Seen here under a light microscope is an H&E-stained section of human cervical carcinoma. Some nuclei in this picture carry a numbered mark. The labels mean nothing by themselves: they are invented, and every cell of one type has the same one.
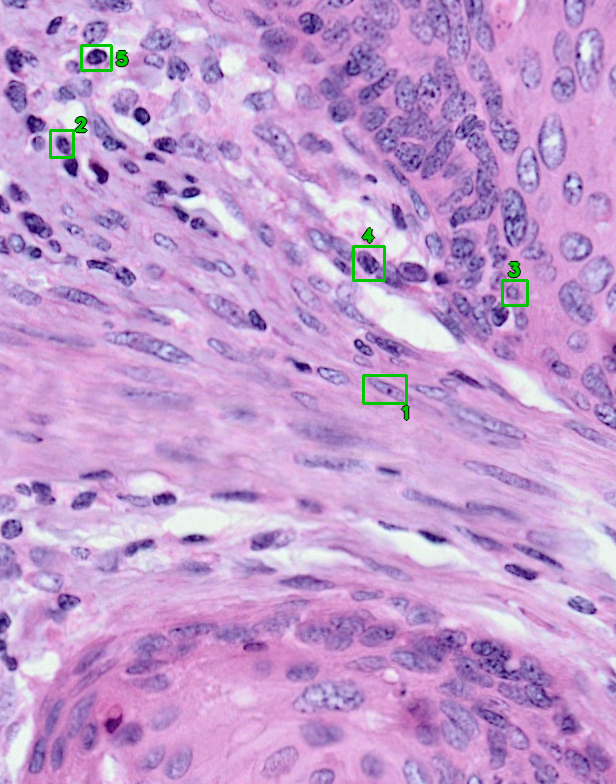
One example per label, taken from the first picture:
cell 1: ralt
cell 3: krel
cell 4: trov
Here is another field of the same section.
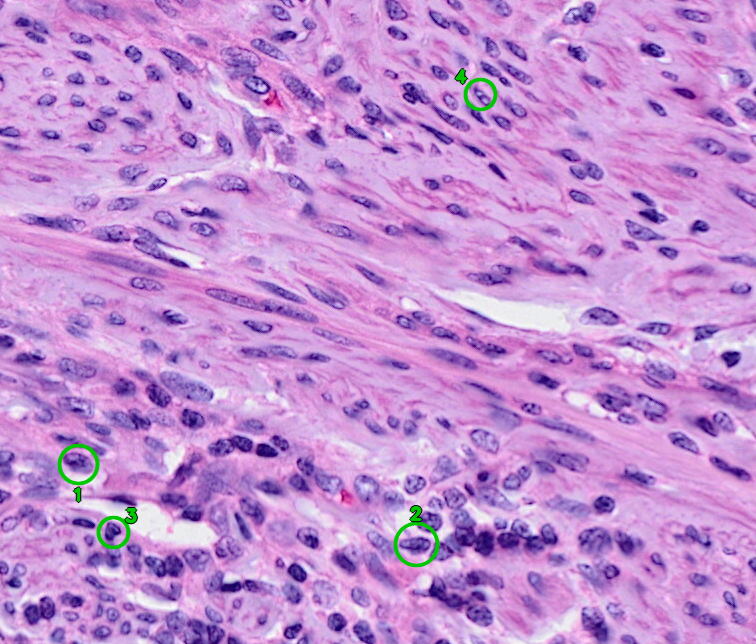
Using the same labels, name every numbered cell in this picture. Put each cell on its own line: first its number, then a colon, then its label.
1: trov
2: trov
3: trov
4: ralt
